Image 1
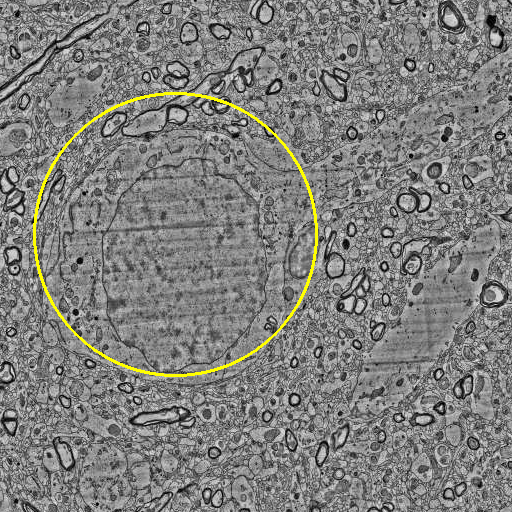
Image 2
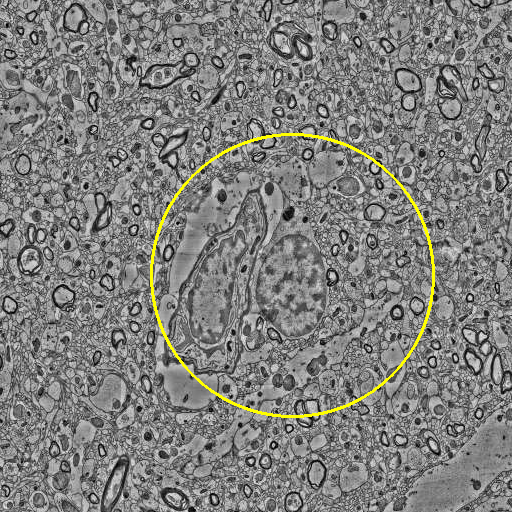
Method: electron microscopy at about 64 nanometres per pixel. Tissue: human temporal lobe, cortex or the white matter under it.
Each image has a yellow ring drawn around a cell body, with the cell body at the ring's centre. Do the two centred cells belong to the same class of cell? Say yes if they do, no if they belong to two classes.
no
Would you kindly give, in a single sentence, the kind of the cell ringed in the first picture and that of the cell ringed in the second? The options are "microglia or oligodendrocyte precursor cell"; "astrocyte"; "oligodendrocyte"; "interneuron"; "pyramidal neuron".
The second cell is an oligodendrocyte, and the first cell is a pyramidal neuron.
